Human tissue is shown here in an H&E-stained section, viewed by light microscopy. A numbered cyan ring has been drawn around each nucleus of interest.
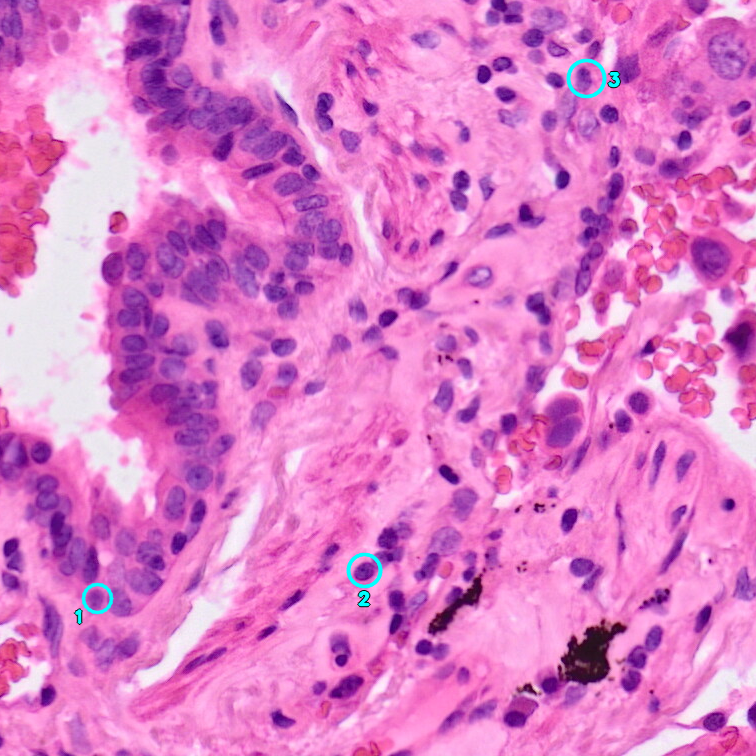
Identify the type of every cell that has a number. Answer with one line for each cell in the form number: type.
1: ciliated epithelial cell
2: mast cell
3: lymphocyte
